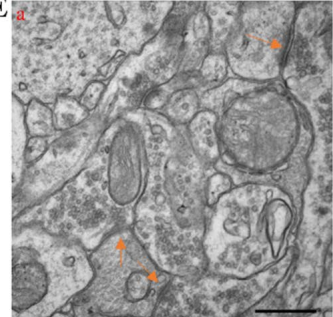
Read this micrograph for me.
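Several profiles are filled with small round clear vesicles, the look of axon terminals. Where such terminals meet neighbouring profiles, short dark electron-dense bands line the membrane on the opposite side, which are postsynaptic densities at synapses. Mitochondria with internal cristae sit within some of the larger profiles. The membranes are mostly crisp and the profiles packed closely together.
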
